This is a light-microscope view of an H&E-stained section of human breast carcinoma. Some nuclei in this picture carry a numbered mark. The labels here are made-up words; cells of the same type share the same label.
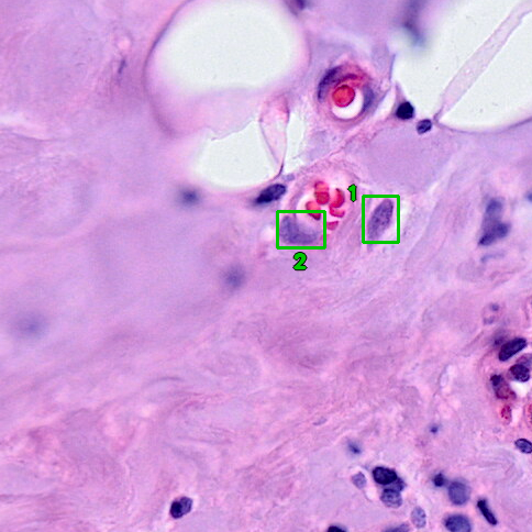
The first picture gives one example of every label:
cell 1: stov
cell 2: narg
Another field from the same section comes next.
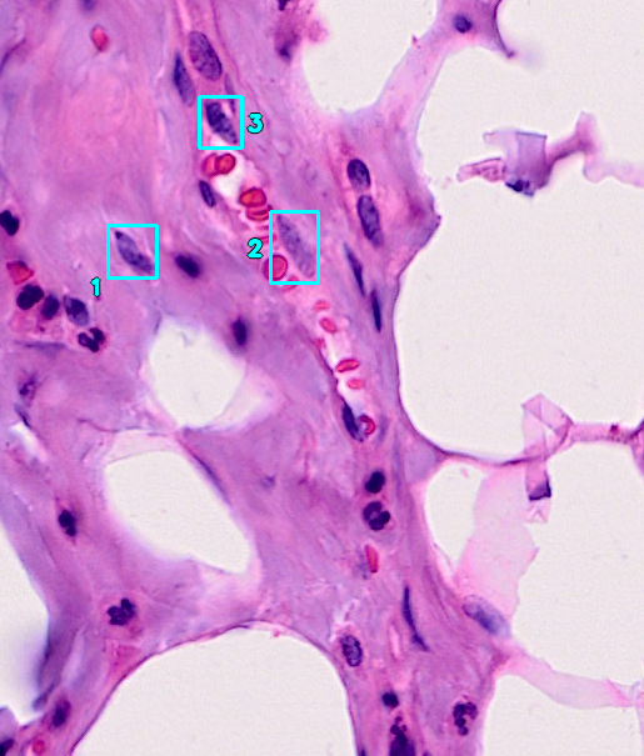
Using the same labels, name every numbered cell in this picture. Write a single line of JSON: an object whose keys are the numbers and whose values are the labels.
{"1": "stov", "2": "narg", "3": "narg"}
